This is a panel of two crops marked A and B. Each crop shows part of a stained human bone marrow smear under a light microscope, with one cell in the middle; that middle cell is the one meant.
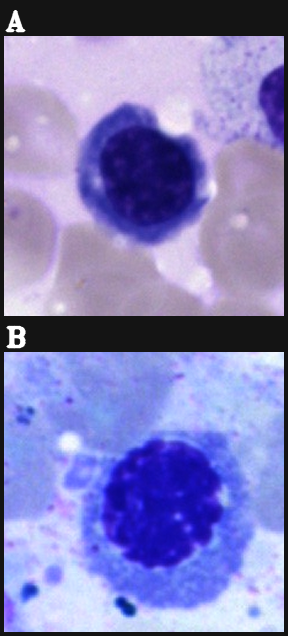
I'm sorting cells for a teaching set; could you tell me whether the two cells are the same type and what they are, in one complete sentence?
Yes, as shown in both crops, the central cells are erythroblasts.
